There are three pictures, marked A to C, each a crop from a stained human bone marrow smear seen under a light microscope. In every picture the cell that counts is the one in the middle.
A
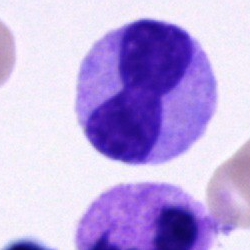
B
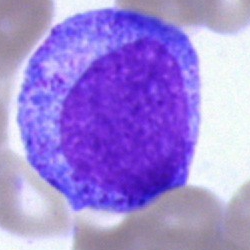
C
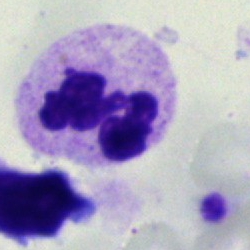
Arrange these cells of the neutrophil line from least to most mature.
B, A, C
